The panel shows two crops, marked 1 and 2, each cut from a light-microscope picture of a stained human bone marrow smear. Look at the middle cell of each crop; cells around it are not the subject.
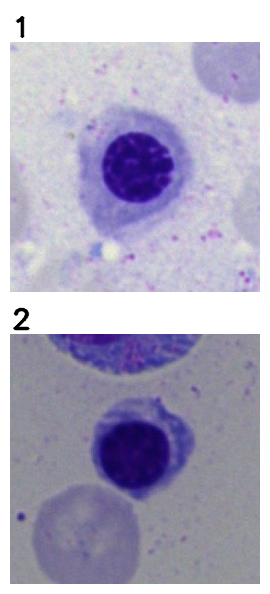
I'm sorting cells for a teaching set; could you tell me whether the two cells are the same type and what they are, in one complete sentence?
Yes, the cells at the centre of the two crops are both erythroblasts.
